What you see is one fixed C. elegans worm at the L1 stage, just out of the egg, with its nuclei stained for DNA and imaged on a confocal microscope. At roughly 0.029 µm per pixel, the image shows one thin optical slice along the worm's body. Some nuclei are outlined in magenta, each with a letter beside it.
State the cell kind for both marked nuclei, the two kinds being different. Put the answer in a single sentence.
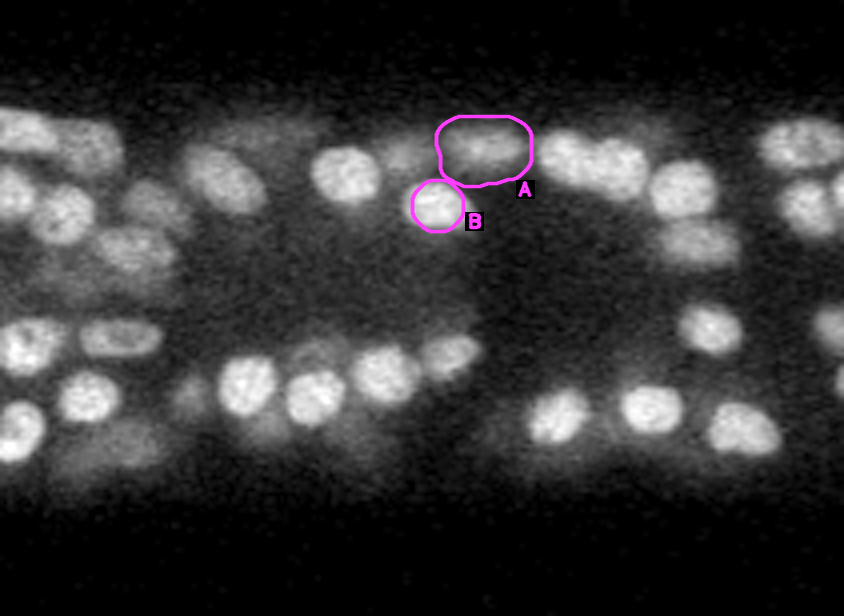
B belongs to a GLR cell, and A to a neuron.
